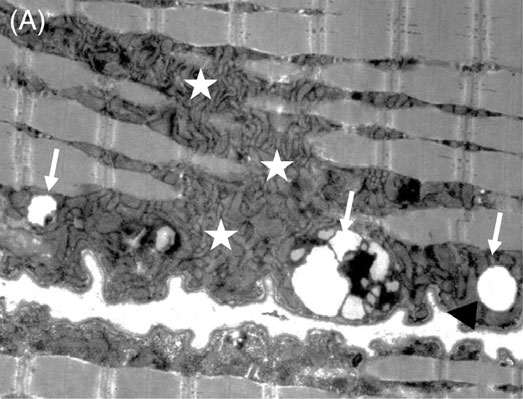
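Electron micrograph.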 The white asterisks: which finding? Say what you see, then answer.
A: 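Aggregates of malformed mitochondria. Large dense masses of membrane-bound organelles with irregular, contorted profiles lie between the myofibrils. The masses push apart the striated myofibrils.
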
